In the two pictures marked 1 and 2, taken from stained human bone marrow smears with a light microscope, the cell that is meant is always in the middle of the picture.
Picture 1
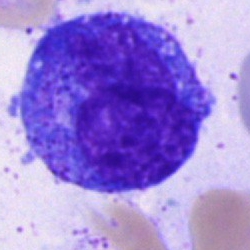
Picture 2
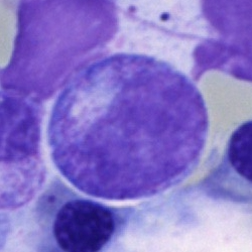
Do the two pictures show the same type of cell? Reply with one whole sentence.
Yes, both are promyelocytes.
